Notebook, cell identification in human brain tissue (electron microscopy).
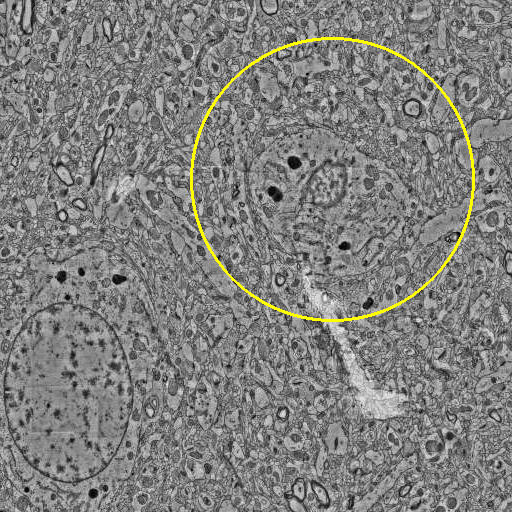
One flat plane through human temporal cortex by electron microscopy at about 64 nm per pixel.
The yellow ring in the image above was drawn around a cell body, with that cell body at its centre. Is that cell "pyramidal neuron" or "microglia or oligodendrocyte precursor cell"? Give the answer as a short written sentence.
The cell in the ring is a pyramidal neuron.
